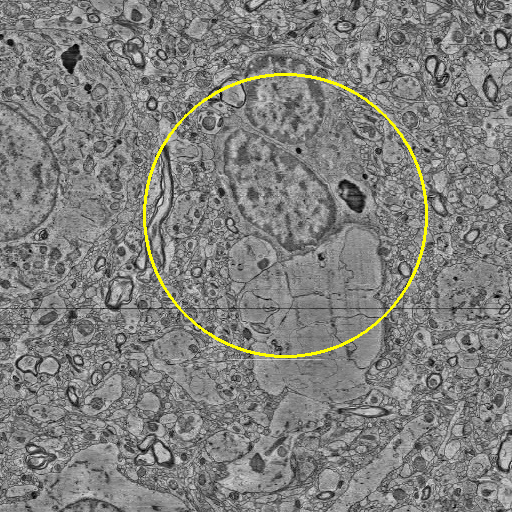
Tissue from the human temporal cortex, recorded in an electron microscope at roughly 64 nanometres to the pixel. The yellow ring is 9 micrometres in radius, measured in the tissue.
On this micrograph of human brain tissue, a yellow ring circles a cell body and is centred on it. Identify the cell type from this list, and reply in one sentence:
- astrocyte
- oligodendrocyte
The cell at the centre is an oligodendrocyte.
